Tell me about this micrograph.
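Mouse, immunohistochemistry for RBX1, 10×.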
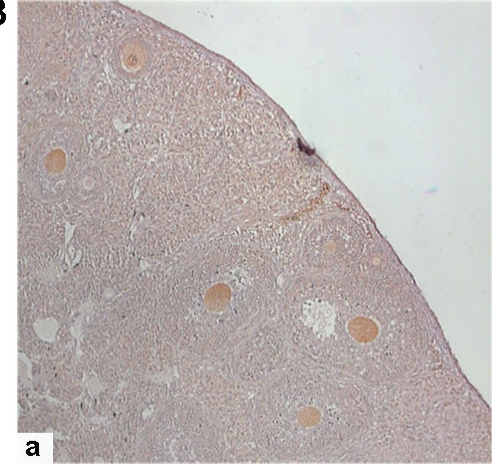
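Low-power section of ovarian tissue showing oocytes within follicles of several sizes, beneath a smooth curved outer surface. The oocytes are large, round cells whose cytoplasm is evenly brown. Each is ringed by one or more layers of small, tightly packed follicle cells that stain only faintly. The largest follicles have a pale, clear space beside the oocyte. Between follicles lies densely cellular stroma with a light pinkish-brown background tint. Small clear gaps and vessels are scattered through the tissue. The brown colour is strongest in the oocytes and much weaker in the surrounding cells.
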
